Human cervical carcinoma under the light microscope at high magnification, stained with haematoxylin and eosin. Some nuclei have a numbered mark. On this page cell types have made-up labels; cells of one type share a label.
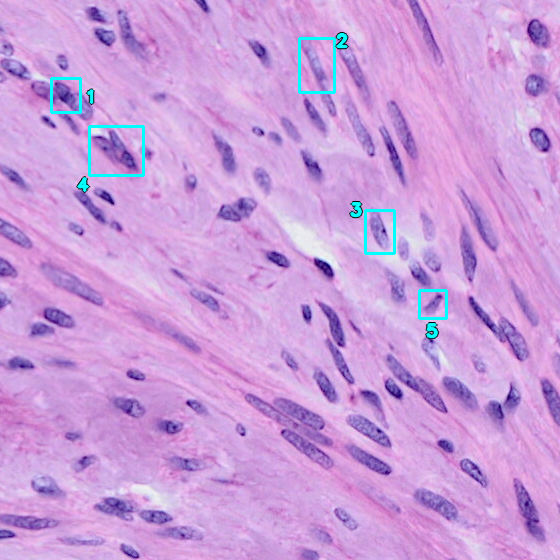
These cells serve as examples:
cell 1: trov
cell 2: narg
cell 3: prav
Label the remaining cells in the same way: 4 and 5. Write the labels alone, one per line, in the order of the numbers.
trov
prav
